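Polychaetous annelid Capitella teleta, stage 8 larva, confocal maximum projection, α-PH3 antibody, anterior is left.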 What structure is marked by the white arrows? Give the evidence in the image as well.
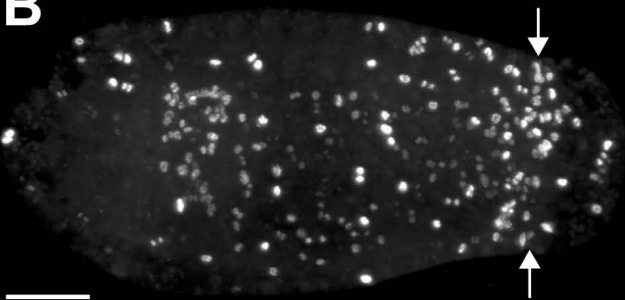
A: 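Bright labelled nuclei are densely clustered in a band between the two arrows. The band lies just in front of the narrower posterior end of the larva. Labelled nuclei elsewhere in the body are more scattered.
Hence: localised region of high cell proliferation.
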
